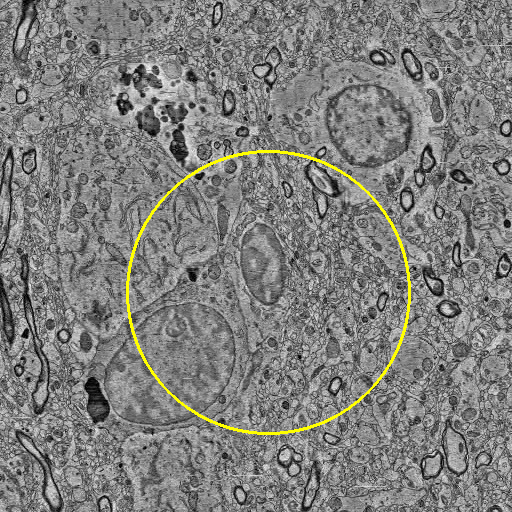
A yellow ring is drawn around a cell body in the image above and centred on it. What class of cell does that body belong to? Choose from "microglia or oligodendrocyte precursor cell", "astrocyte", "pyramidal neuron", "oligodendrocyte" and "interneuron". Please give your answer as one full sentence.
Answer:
The yellow ring above is centred on the cell body of a microglial cell or oligodendrocyte precursor cell.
